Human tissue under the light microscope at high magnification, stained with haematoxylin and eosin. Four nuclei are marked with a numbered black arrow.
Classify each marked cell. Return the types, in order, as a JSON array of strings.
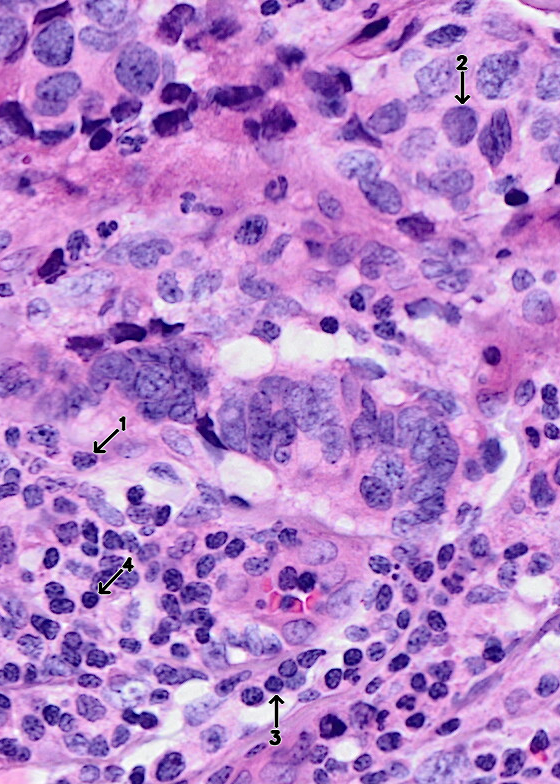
["lymphocyte", "carcinoma cell", "lymphocyte", "lymphocyte"]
